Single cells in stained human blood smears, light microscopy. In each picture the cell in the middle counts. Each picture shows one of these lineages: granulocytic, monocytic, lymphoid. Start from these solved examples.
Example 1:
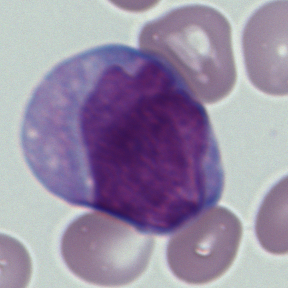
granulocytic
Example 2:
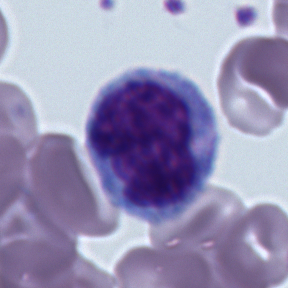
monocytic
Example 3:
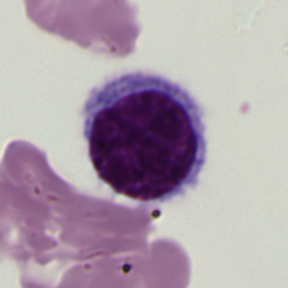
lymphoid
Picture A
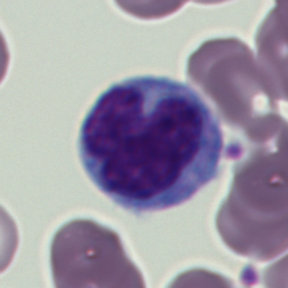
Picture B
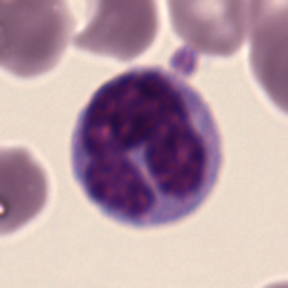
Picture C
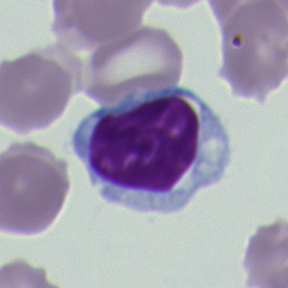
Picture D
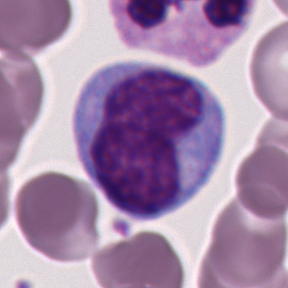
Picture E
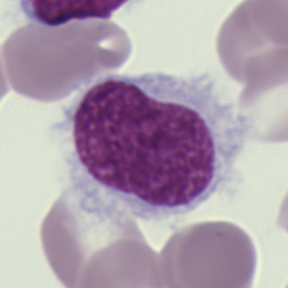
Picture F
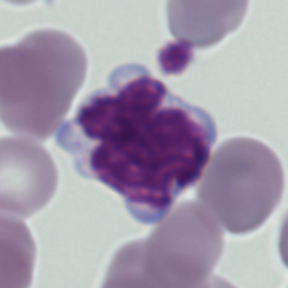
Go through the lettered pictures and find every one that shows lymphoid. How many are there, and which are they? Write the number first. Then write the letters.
3, namely C, E, F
